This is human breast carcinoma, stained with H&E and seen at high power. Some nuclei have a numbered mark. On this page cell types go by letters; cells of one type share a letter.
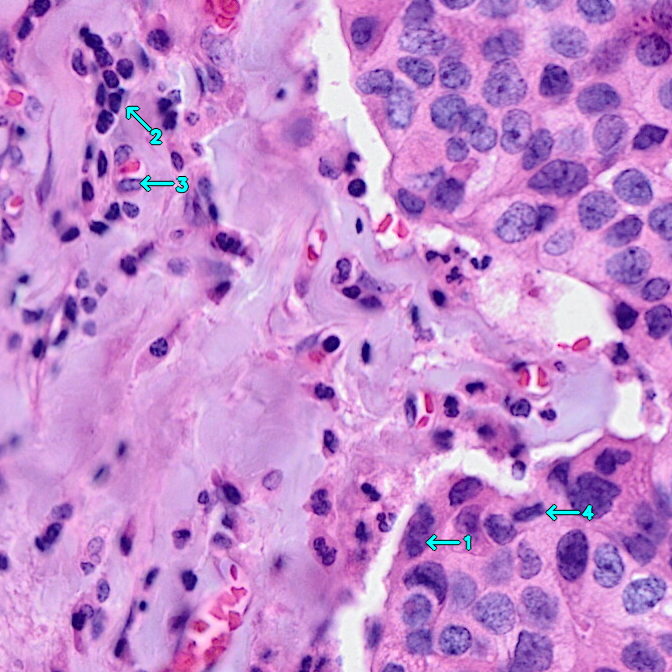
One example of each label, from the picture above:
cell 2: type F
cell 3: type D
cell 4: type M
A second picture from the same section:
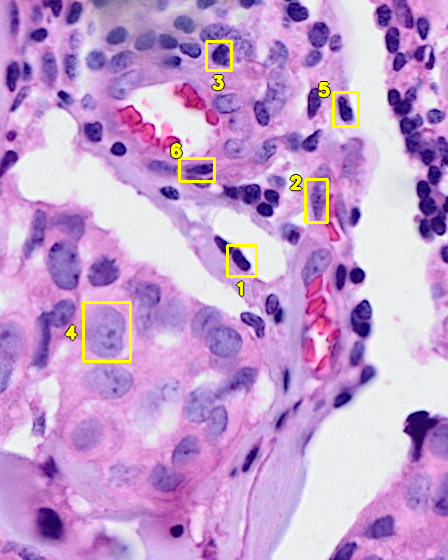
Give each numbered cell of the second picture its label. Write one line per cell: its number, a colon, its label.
1: type F
2: type D
3: type F
4: type M
5: type F
6: type D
